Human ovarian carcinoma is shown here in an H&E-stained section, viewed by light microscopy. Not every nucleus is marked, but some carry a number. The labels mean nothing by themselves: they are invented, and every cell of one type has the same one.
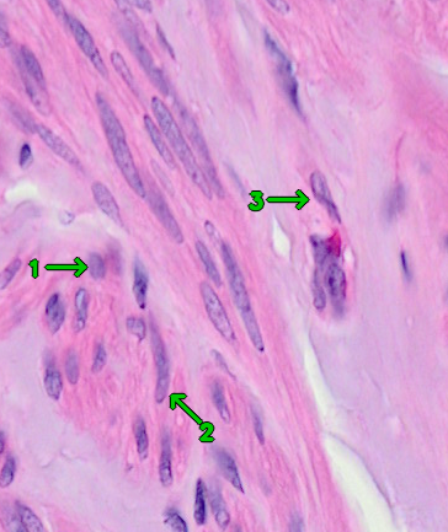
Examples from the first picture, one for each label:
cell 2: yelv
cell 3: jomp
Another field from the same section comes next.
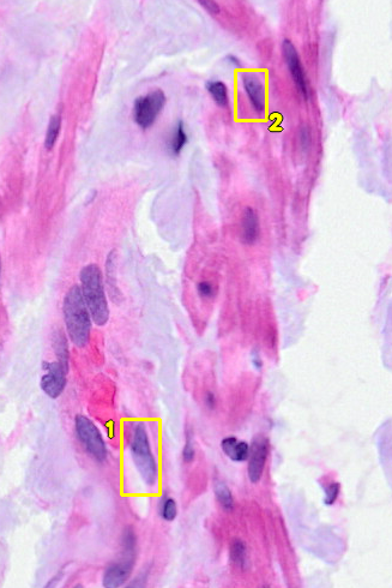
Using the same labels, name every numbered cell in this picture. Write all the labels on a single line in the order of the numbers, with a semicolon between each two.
jomp; yelv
